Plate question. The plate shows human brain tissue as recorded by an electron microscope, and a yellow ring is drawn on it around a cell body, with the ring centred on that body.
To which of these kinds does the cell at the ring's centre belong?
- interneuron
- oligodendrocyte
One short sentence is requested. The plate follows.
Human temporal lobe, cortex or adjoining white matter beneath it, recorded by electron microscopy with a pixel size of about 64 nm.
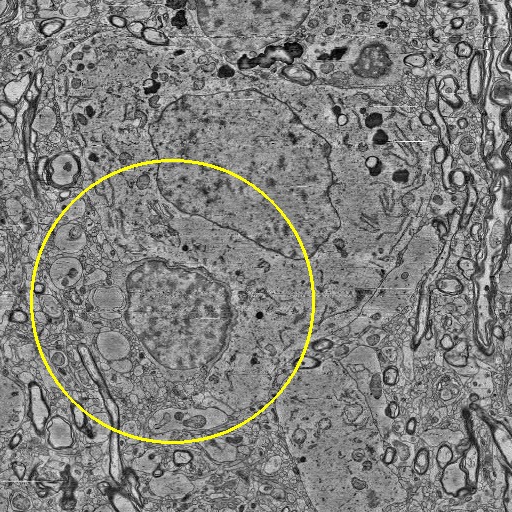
The cell at the ring's centre is an oligodendrocyte.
